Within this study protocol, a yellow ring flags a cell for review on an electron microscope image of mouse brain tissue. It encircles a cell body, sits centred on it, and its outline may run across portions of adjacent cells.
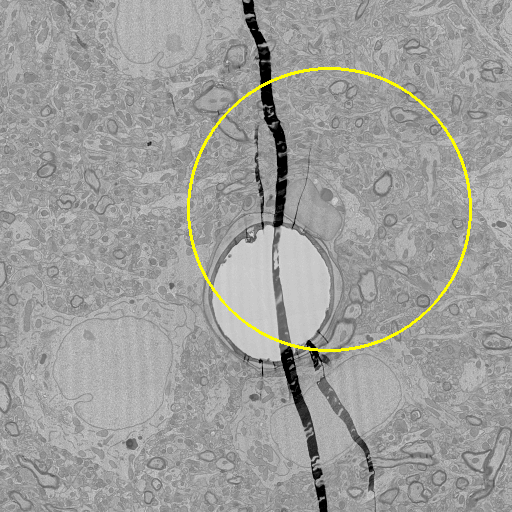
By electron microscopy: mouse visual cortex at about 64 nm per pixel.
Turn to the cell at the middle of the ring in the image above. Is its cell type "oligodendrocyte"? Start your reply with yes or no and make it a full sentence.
No, the cell at the ring's centre in the image above has another cell type.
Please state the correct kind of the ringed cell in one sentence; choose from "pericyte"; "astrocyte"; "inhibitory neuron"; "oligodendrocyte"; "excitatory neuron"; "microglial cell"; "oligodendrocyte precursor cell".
The cell that the ring is centred on is a microglial cell.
